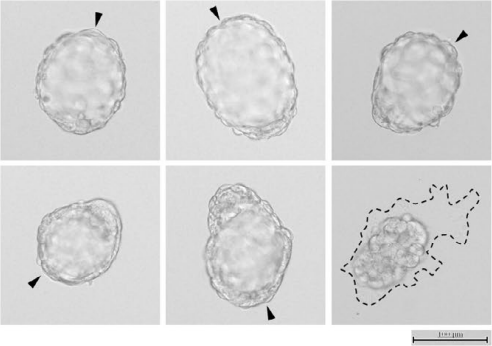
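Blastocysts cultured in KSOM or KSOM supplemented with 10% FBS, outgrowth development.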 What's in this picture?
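Most embryos are rounded to oval, expanded spheres with a thin outer layer of cells whose polygonal outlines and nuclei are faintly visible around a clear interior; some show a denser cluster of cells on one side. In the last image of the lower row the embryo is no longer spherical: cells have flattened and spread outward into an irregular, lobed sheet, traced by a dashed line, with rounded cells at its centre.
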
